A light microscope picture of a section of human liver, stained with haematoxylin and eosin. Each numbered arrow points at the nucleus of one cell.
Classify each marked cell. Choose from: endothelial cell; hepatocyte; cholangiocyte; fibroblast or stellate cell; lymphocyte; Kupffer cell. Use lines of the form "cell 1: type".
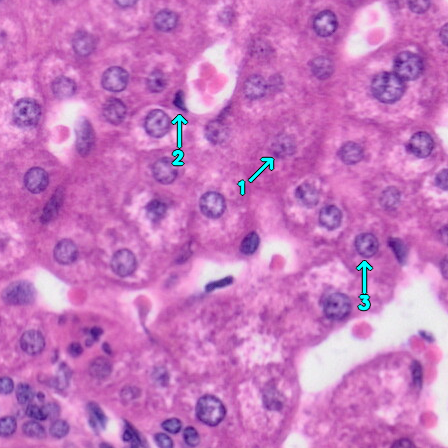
cell 1: hepatocyte
cell 2: fibroblast or stellate cell
cell 3: hepatocyte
